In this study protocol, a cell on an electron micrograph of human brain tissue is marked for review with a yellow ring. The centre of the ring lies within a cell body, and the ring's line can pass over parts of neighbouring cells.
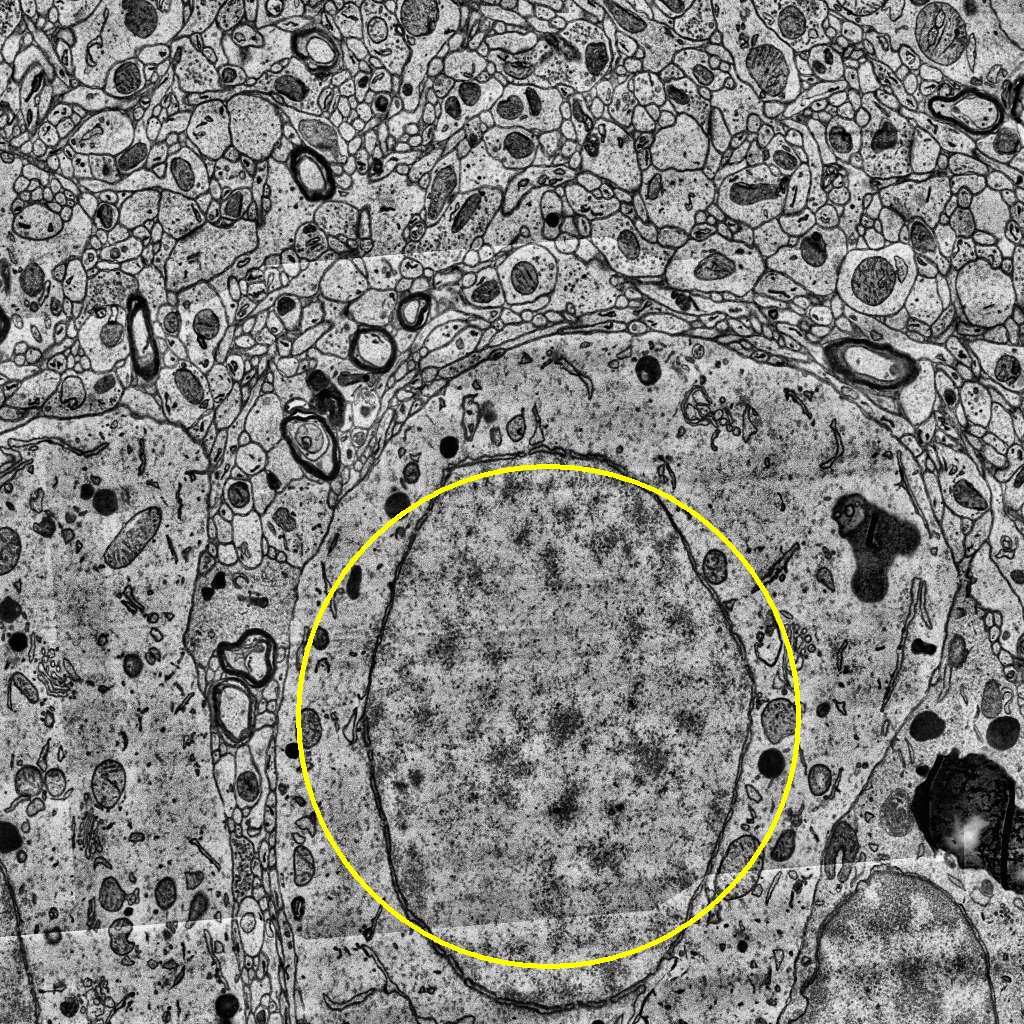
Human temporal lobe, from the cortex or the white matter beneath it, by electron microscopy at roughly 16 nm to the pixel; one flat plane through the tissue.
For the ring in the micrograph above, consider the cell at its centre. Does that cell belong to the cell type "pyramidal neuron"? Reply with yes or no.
yes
